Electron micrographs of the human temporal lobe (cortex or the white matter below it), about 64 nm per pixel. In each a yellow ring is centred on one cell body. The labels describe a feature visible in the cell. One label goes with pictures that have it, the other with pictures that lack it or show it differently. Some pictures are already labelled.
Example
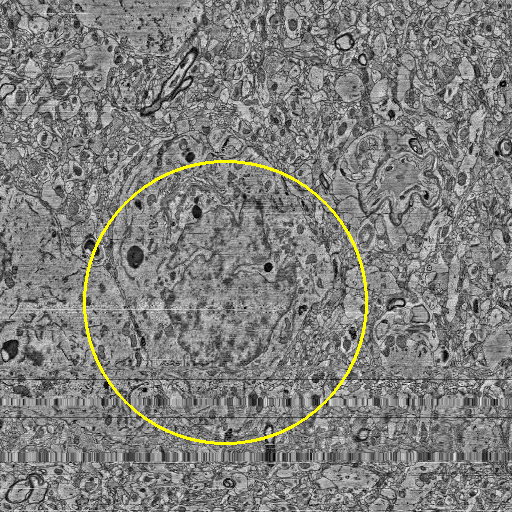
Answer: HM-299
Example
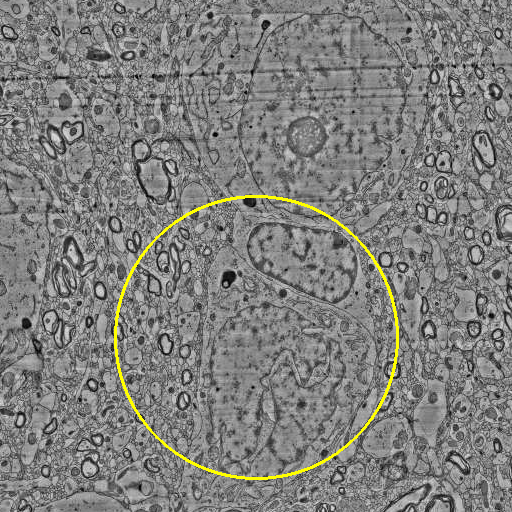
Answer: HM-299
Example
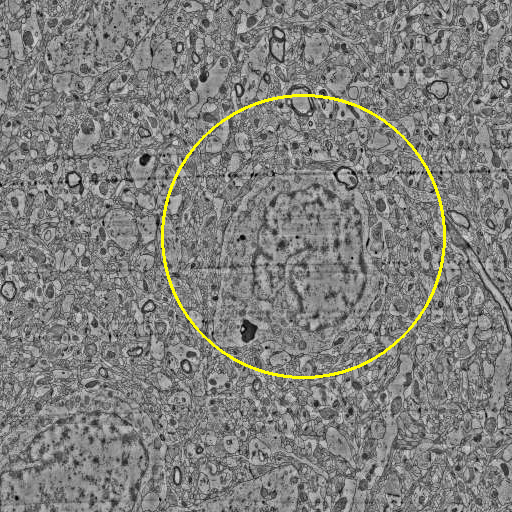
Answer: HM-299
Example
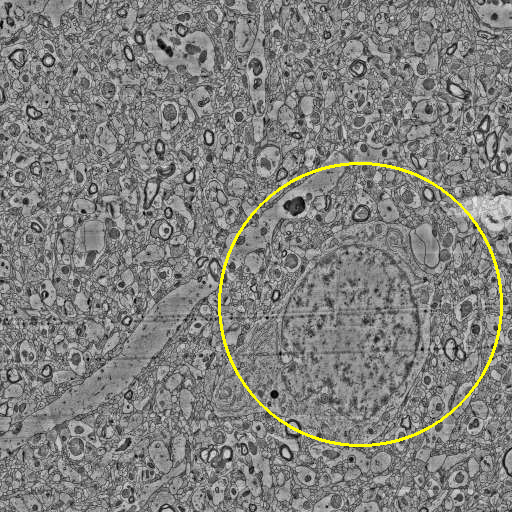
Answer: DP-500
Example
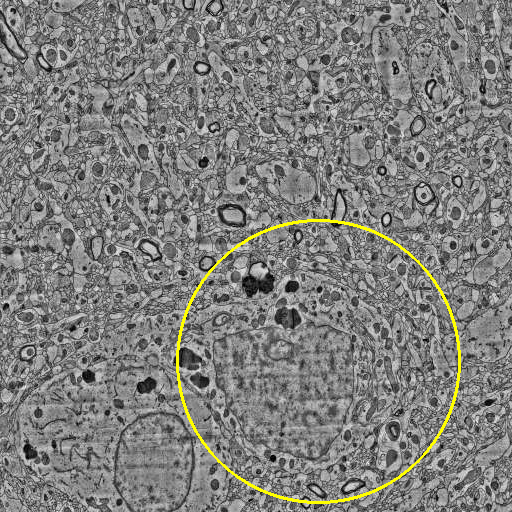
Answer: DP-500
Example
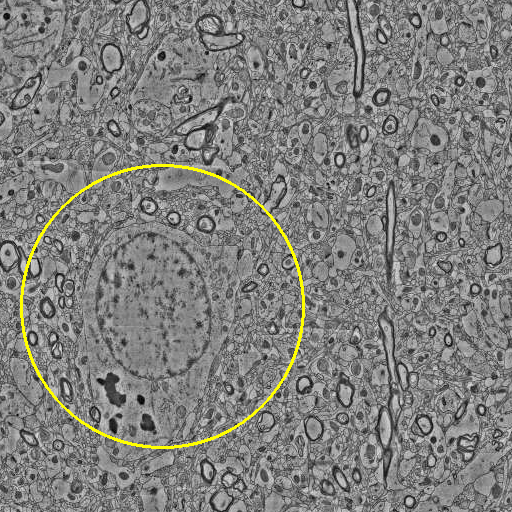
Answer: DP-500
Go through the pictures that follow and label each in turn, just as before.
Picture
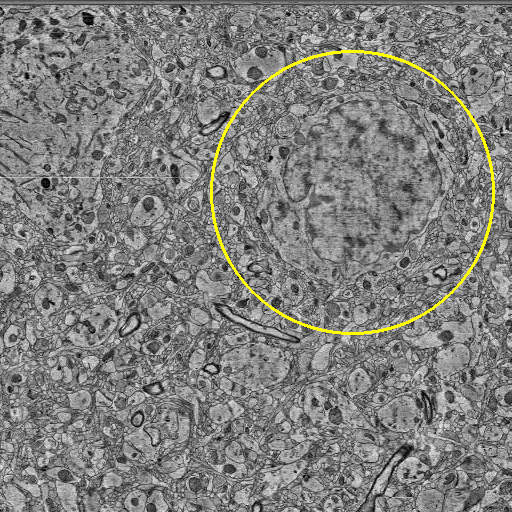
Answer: HM-299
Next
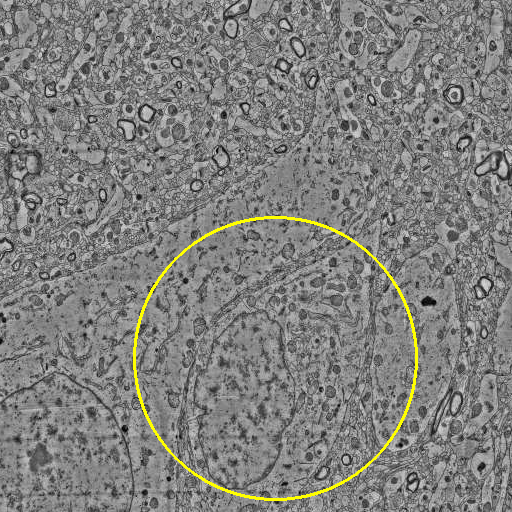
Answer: DP-500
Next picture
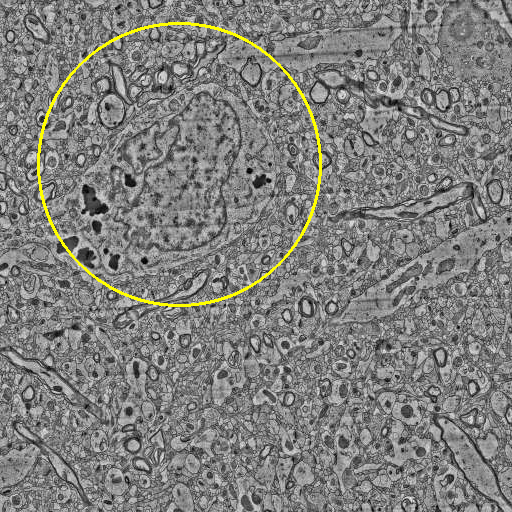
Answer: HM-299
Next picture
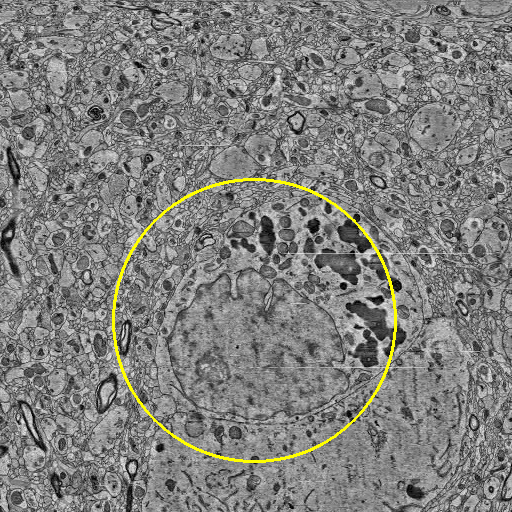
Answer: HM-299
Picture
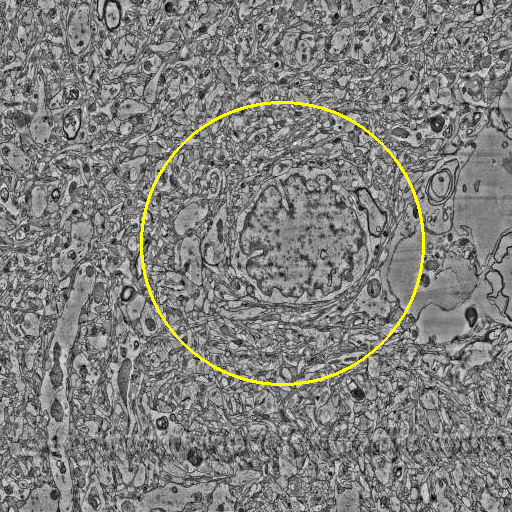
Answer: HM-299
